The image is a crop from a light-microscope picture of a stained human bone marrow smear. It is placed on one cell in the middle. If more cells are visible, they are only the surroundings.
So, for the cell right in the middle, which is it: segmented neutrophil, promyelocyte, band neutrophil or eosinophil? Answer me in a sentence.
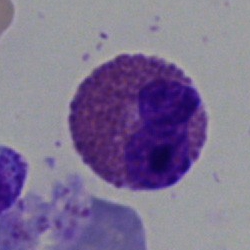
The cell positioned in the middle of the field is an eosinophil.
